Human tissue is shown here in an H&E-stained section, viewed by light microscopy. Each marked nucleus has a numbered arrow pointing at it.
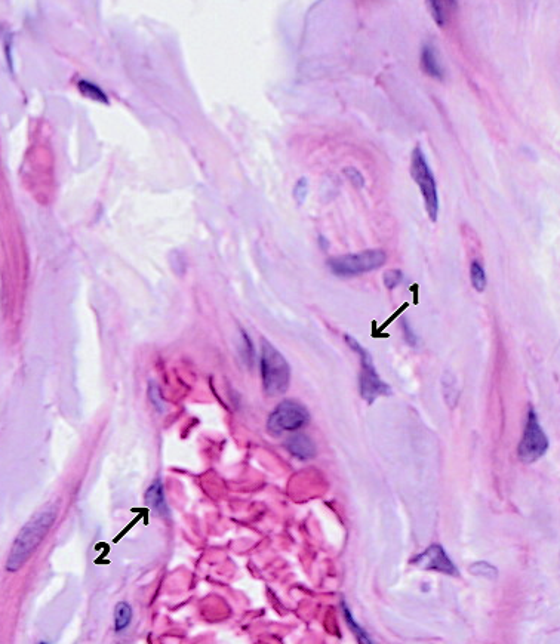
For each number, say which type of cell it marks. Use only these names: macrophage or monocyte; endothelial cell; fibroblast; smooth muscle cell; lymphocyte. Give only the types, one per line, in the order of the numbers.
fibroblast
endothelial cell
